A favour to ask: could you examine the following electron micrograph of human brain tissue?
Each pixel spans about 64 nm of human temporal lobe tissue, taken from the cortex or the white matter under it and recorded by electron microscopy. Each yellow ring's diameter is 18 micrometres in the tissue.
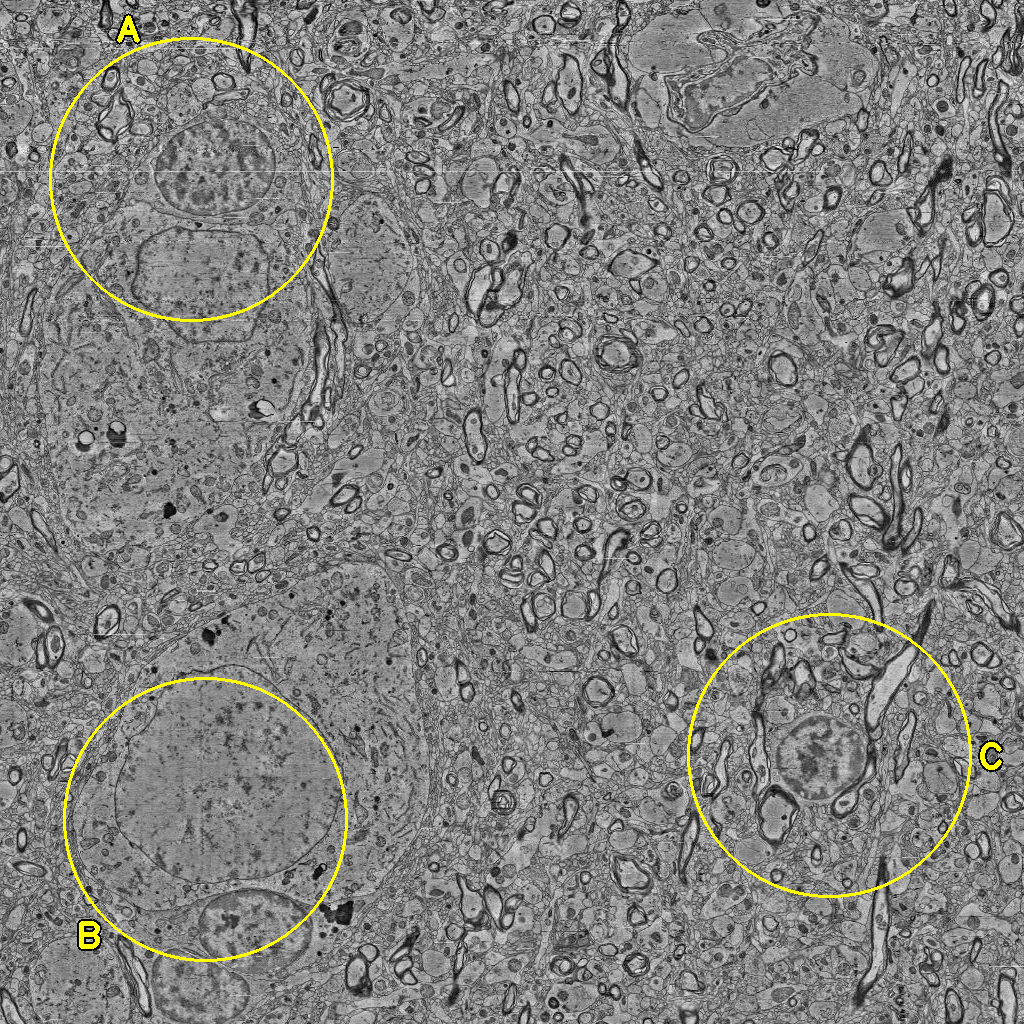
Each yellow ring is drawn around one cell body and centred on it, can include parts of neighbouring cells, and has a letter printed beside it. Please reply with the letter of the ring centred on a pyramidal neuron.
B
